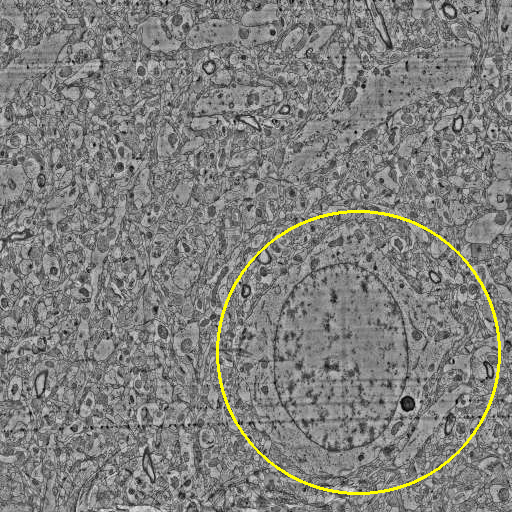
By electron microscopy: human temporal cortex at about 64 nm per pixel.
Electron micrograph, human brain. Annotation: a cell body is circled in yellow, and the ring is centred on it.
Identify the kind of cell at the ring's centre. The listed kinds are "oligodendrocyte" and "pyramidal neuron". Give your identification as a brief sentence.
The circled cell body is that of a pyramidal neuron.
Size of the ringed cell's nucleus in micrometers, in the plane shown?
In this plane, approximately 12 by 9 micrometers.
